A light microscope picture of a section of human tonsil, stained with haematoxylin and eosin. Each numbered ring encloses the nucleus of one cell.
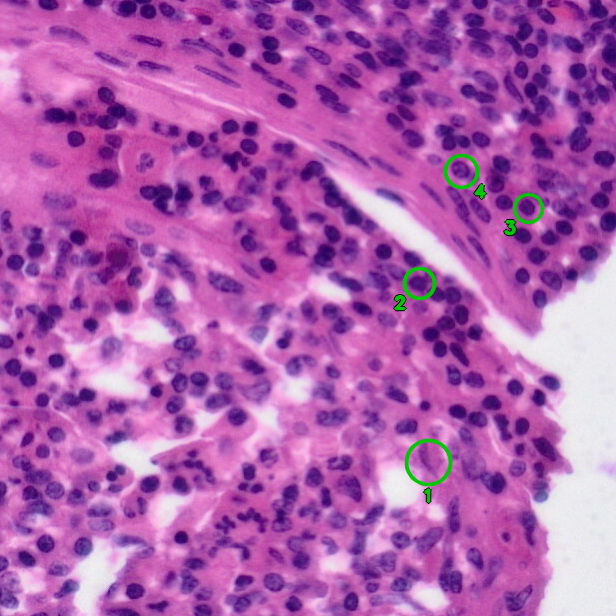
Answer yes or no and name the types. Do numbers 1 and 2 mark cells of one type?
No, cell 1 is a squamous epithelial cell and cell 2 is a plasma cell.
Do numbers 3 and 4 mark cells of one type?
Yes, both are plasma cells.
